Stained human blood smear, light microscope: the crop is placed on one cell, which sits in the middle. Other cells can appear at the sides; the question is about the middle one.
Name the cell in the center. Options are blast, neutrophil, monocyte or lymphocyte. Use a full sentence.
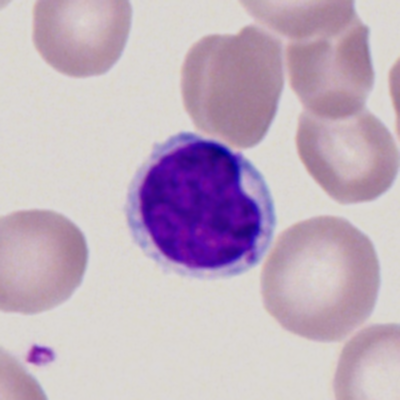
The cell in the middle of this crop is a lymphocyte.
